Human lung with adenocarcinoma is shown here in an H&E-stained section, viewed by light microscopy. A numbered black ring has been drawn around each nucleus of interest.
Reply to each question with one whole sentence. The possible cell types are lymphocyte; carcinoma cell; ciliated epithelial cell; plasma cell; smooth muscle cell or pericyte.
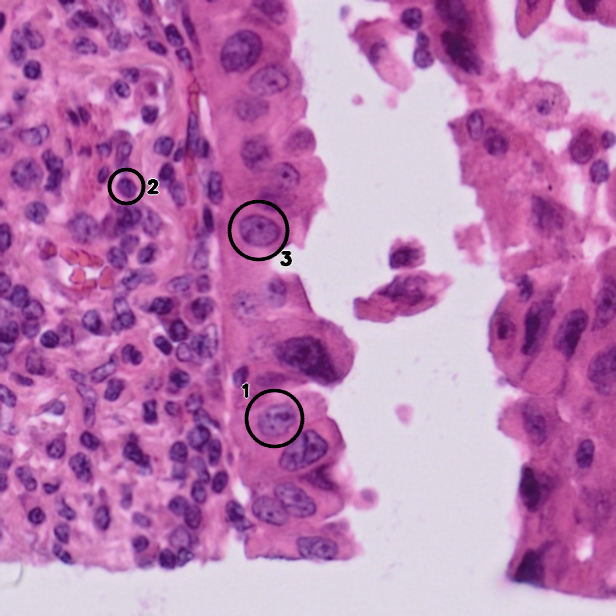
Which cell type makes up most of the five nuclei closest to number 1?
Around number 1, most of the five nearest nuclei are those of carcinoma cells.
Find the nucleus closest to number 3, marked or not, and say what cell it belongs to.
The cell nearest to number 3 is a carcinoma cell.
